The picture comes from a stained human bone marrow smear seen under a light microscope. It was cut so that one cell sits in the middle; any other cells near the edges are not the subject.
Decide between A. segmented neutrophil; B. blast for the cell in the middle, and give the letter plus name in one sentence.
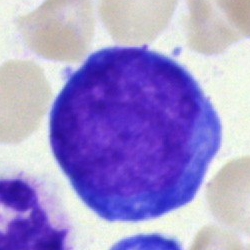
In this crop the central cell is a blast, which option B correctly states.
